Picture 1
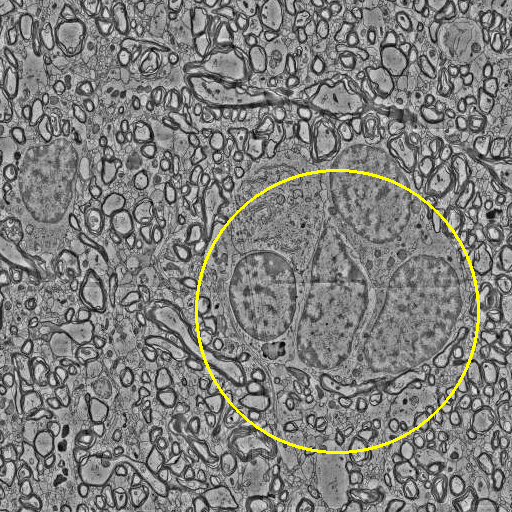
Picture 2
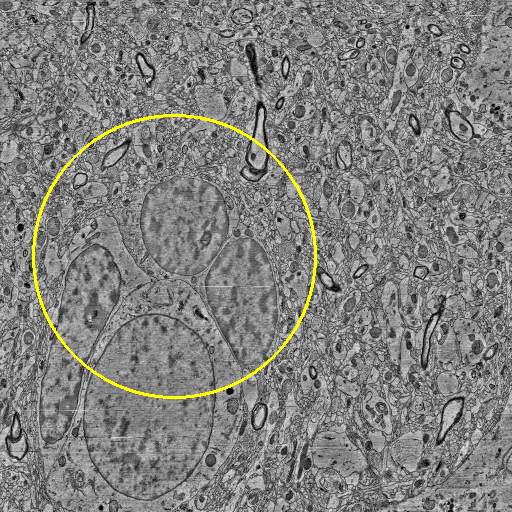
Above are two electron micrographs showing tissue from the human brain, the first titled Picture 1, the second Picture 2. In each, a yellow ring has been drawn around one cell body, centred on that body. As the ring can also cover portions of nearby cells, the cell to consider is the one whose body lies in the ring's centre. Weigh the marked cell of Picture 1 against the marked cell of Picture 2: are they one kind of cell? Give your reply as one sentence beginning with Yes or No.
No, the two cells sitting at the ring centres in the pictures are of two kinds.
